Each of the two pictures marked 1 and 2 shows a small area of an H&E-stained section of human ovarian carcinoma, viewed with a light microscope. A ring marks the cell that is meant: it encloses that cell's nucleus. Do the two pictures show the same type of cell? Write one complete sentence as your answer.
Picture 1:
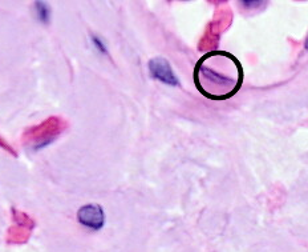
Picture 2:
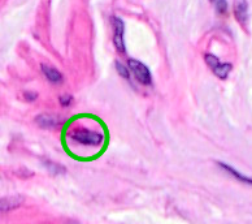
Yes, the two pictures both show endothelial cells.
